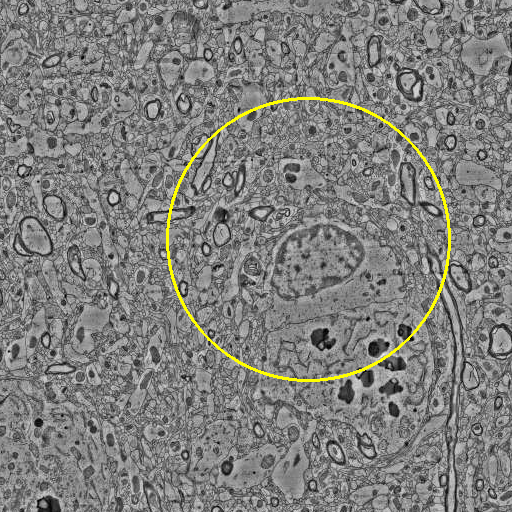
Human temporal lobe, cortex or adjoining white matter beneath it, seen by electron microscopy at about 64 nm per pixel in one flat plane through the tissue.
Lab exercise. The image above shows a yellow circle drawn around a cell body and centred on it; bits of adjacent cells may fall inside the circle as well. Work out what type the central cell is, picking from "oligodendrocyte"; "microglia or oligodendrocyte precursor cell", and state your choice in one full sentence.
In the image above, the cell at the centre of the yellow circle is a microglial cell or oligodendrocyte precursor cell.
